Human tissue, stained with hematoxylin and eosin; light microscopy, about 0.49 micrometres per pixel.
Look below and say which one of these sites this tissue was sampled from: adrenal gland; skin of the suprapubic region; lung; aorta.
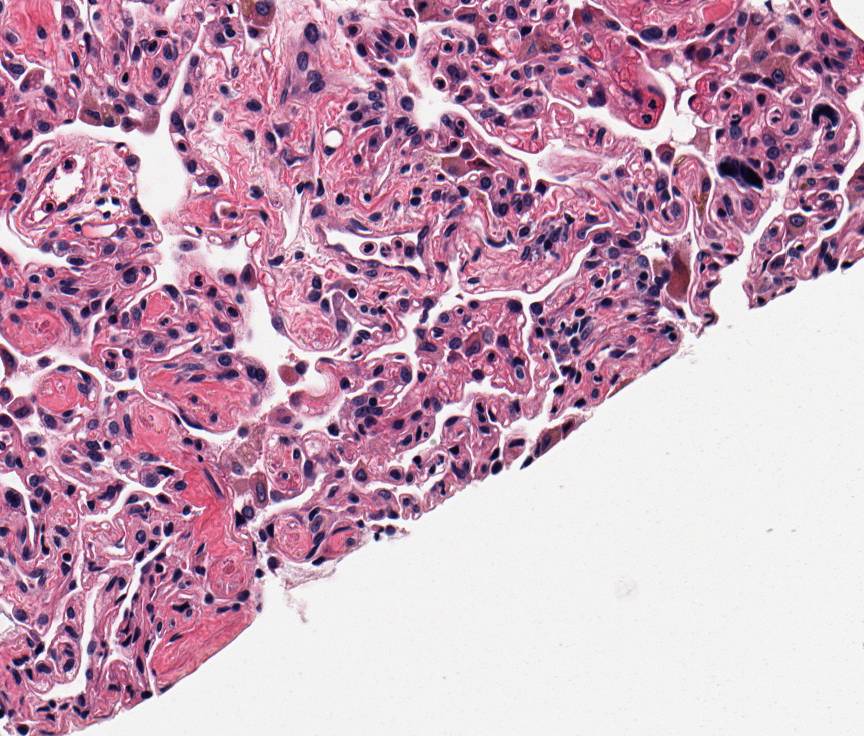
lung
